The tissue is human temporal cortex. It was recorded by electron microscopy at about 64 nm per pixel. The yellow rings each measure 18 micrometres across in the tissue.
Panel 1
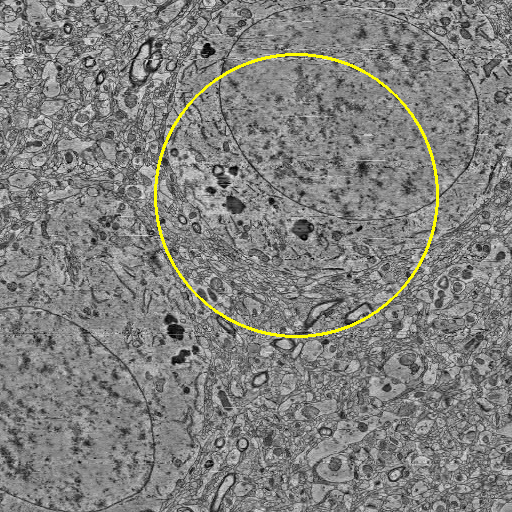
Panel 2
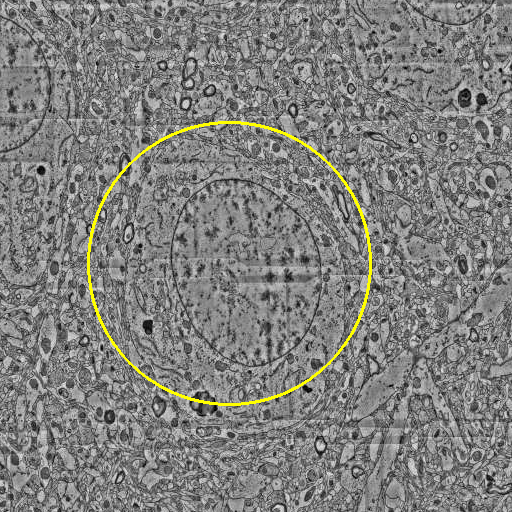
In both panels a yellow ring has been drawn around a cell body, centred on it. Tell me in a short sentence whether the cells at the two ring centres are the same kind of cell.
Yes, they are the same kind of cell.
